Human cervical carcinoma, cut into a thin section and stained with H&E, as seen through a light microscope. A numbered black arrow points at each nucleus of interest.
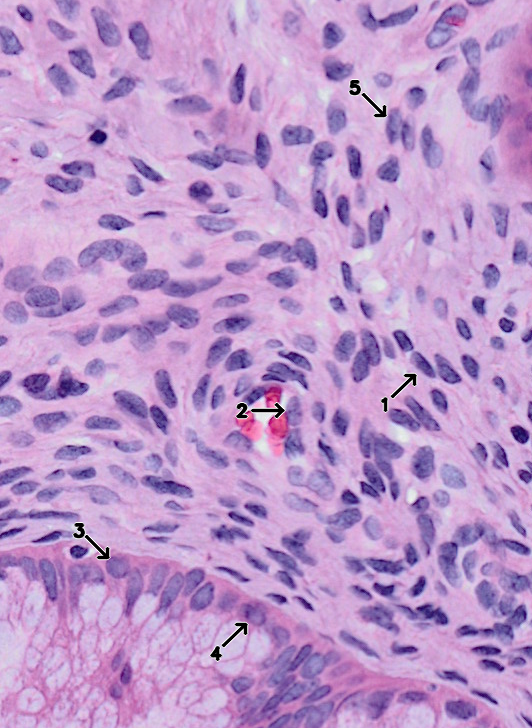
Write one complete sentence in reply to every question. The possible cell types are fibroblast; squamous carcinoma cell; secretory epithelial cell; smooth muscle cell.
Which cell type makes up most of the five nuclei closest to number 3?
Around number 3, most of the five nearest nuclei are those of secretory epithelial cells.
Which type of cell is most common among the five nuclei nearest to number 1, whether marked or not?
Fibroblasts account for more than half of the five nuclei nearest to number 1.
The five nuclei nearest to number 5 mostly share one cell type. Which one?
Of the five nuclei nearest to number 5, most belong to fibroblasts.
